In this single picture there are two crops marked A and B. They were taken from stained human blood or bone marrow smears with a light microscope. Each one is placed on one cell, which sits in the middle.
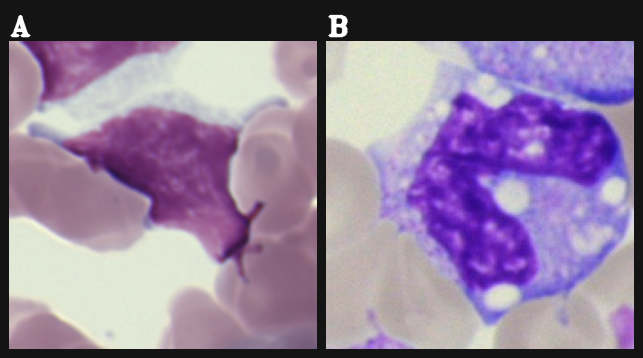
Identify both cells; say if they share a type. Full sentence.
No, just to correct that: crop A shows a lymphocyte, crop B shows a monocyte.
